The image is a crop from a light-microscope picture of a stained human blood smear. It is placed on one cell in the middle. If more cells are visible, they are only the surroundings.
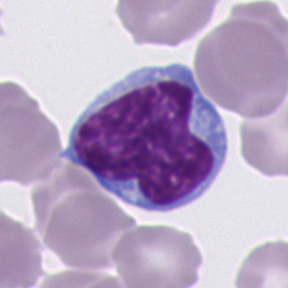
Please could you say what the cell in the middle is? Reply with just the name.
typical lymphocyte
